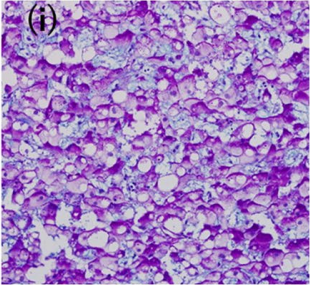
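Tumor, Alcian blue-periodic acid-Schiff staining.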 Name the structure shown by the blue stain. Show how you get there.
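Pale blue wispy material lies between the cells. Magenta-stained cells are embedded in the blue material. So: myxoid intercellular matrix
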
